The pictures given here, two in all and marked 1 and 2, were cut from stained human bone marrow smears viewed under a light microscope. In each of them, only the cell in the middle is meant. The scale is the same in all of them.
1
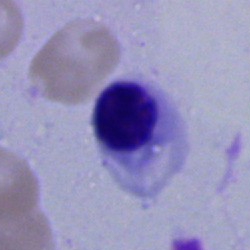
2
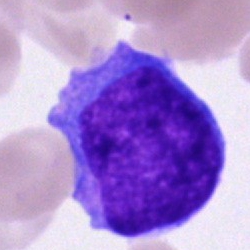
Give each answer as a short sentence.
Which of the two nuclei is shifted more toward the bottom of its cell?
In crop 2 the nucleus is shifted more toward the bottom.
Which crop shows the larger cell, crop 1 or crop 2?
Crop 2 holds the larger cell; it covers about 3 times the area of the cell in crop 1.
